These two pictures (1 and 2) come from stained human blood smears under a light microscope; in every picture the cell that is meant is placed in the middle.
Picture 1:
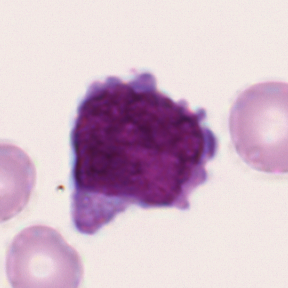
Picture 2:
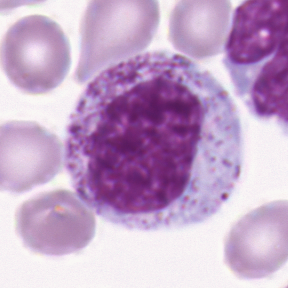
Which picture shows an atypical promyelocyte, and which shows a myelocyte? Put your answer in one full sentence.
The cell in picture 1 is an atypical promyelocyte, and the one in picture 2 is a myelocyte.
